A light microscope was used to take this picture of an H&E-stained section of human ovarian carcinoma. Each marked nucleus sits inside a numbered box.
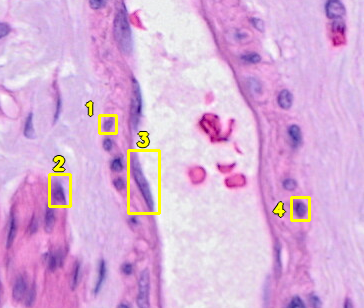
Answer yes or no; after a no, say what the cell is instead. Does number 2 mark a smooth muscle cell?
Yes.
